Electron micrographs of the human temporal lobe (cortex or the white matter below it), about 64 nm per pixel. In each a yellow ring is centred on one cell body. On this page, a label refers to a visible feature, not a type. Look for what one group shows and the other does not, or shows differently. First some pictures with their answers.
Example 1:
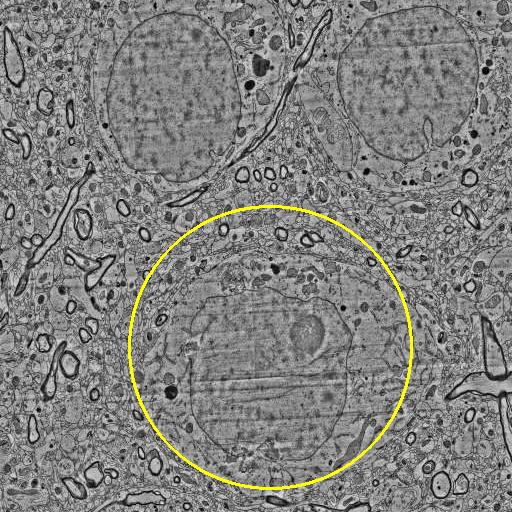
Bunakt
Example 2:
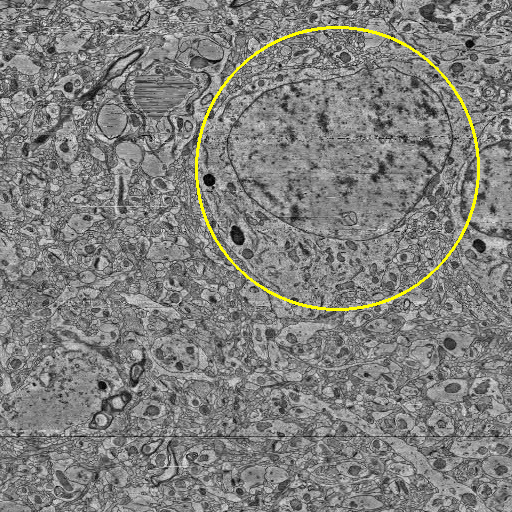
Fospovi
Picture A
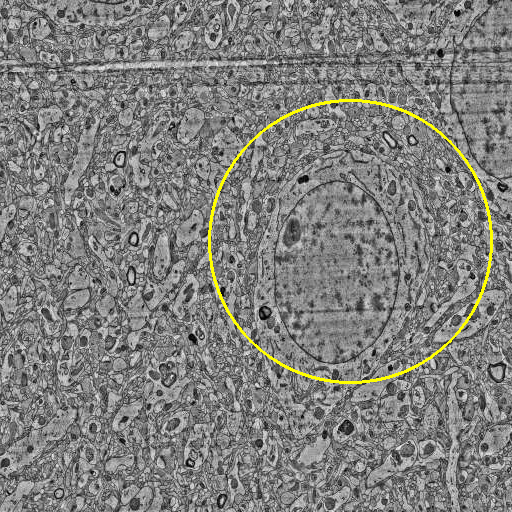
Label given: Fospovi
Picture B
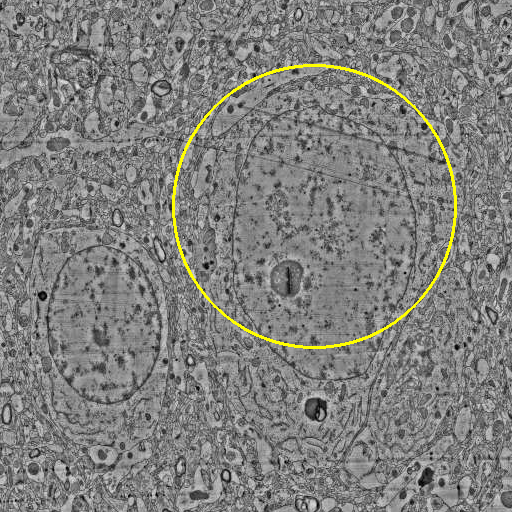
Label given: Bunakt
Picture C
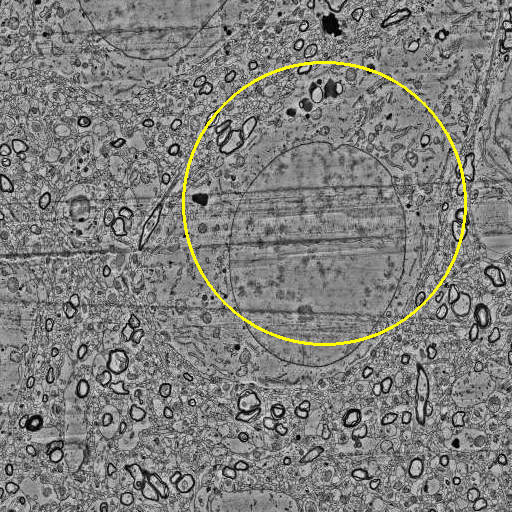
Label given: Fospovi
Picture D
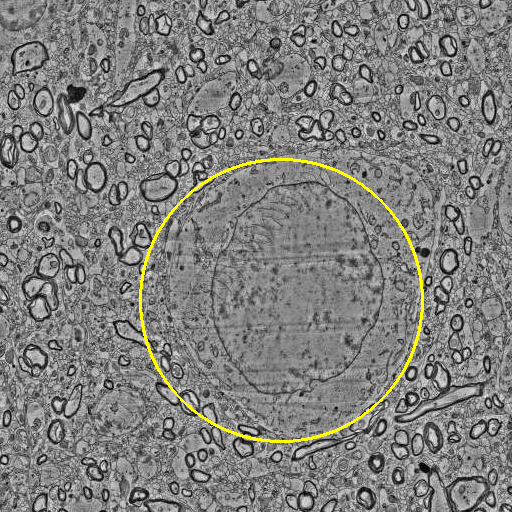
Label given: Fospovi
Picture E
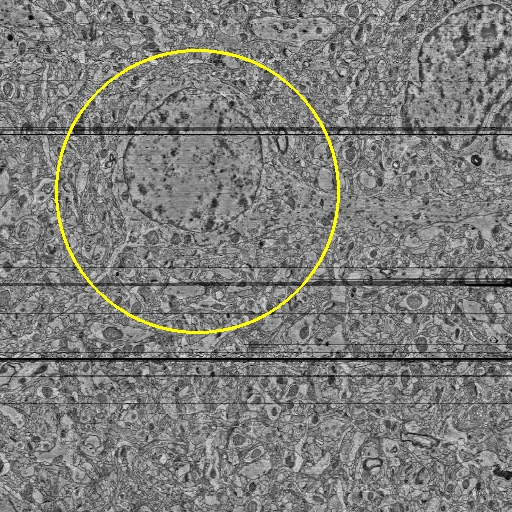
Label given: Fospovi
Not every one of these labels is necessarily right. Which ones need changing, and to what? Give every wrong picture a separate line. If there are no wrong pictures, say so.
A is labelled Fospovi; correct label: Bunakt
